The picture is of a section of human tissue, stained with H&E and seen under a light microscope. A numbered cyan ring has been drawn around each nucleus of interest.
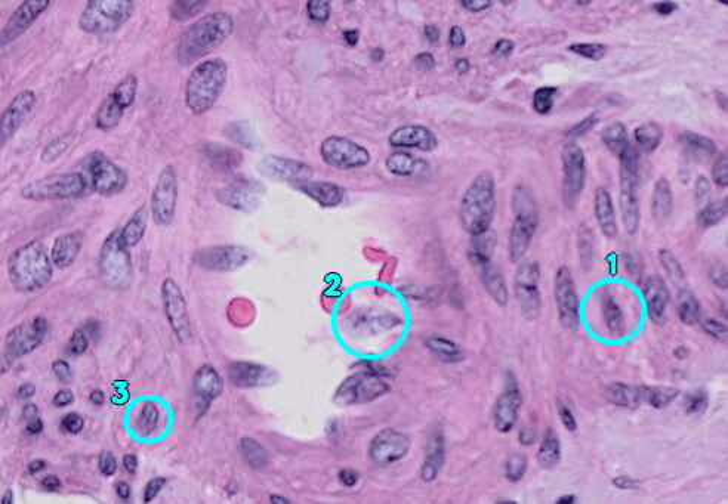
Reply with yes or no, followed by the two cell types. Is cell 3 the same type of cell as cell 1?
Yes, by their numbers, cells 3 and 1 are both smooth muscle cells.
